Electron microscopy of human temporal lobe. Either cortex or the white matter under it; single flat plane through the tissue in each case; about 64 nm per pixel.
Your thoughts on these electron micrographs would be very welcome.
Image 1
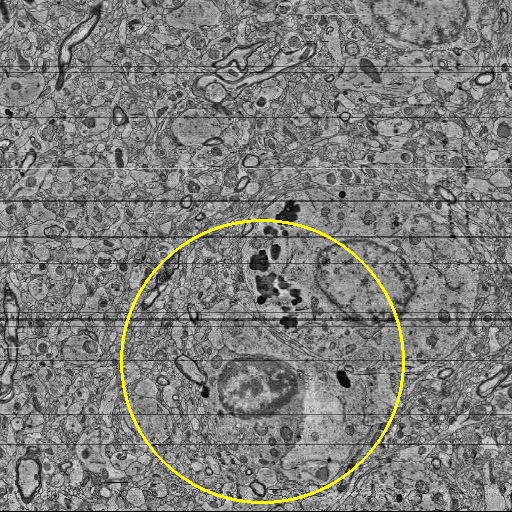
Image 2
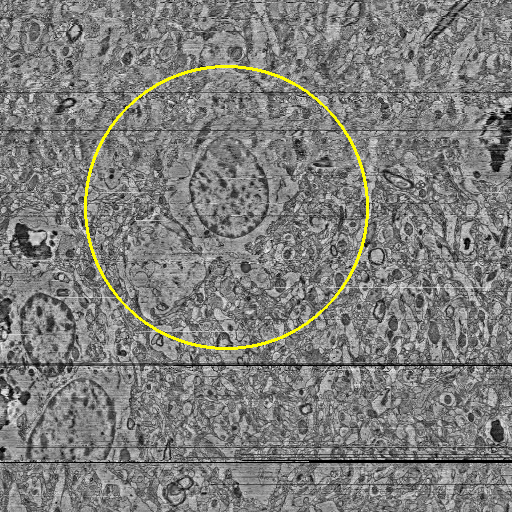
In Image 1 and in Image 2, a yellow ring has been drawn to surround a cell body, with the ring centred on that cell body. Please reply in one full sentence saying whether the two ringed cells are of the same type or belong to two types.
The ringed cells in Image 1 and Image 2 belong to two types.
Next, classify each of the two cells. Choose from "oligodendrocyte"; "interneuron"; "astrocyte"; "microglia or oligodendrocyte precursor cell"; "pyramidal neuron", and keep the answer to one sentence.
In the first picture it is an oligodendrocyte; in the second it is an astrocyte.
